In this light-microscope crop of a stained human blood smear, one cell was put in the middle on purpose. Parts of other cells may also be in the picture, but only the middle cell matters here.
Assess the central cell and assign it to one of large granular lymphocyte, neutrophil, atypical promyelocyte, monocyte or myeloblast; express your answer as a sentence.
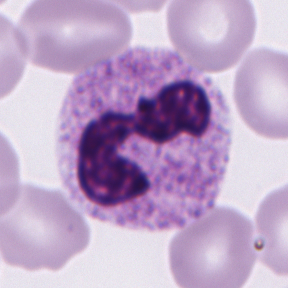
Looking at the middle of the crop, the cell there is a neutrophil.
